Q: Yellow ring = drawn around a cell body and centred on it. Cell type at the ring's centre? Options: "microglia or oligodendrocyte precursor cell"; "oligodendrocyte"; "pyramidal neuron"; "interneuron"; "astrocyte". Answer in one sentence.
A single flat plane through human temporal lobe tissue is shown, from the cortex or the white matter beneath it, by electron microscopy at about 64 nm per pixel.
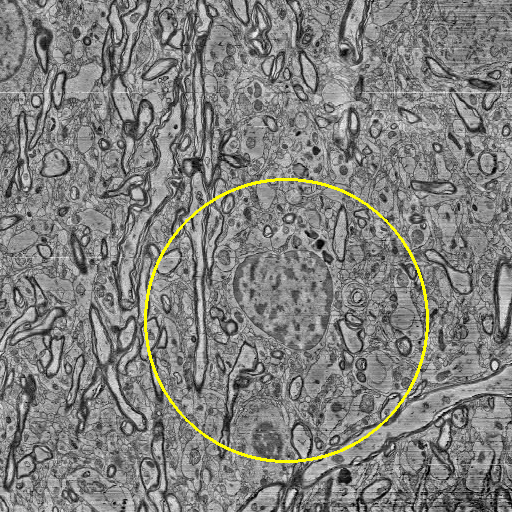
Centred in the ring is a microglial cell or oligodendrocyte precursor cell.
